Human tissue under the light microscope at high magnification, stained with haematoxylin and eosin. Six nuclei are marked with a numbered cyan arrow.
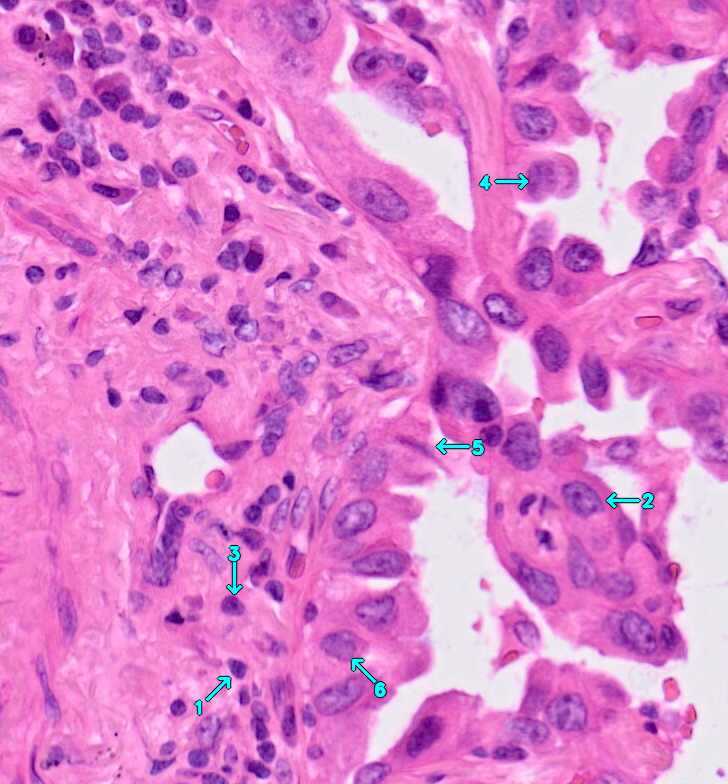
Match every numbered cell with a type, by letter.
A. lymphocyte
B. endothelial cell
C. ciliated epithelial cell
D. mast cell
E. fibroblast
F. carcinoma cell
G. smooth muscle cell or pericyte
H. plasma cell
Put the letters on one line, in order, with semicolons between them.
A; F; A; F; F; F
